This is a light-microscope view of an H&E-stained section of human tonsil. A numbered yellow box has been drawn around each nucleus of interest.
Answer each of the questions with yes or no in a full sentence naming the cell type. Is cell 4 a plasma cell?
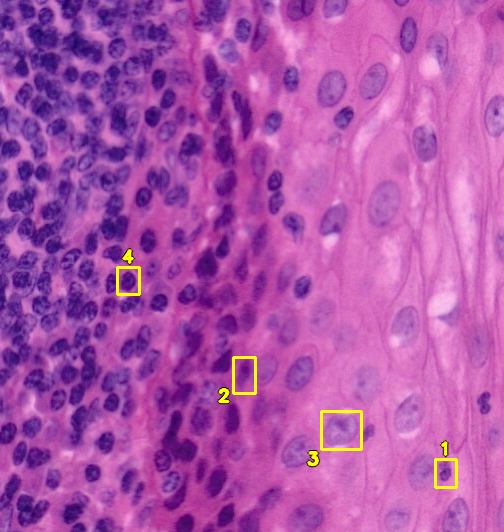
Yes, cell 4 among the marked cells is a plasma cell.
